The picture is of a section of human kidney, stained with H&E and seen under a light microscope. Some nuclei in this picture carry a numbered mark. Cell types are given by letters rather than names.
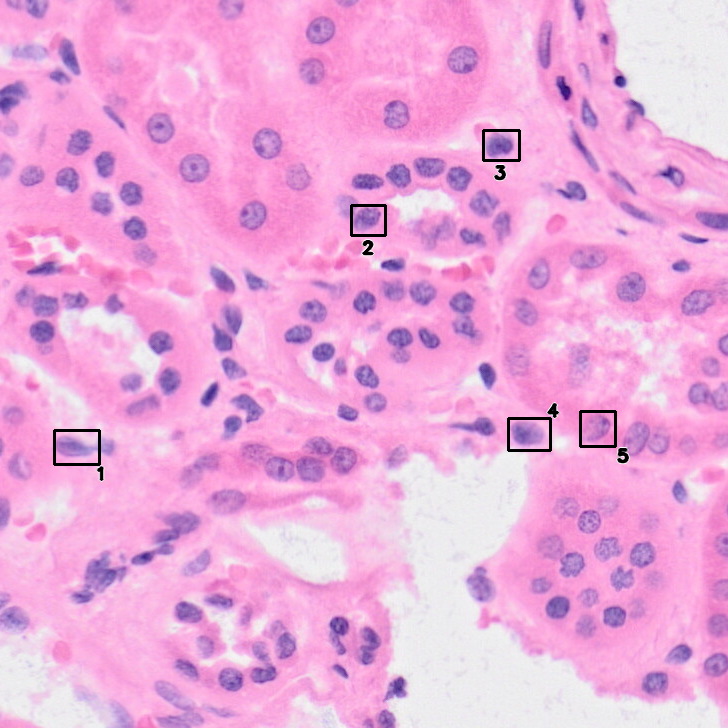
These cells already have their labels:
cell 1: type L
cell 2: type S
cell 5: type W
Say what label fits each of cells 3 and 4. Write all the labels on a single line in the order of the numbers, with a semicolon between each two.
type L; type L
